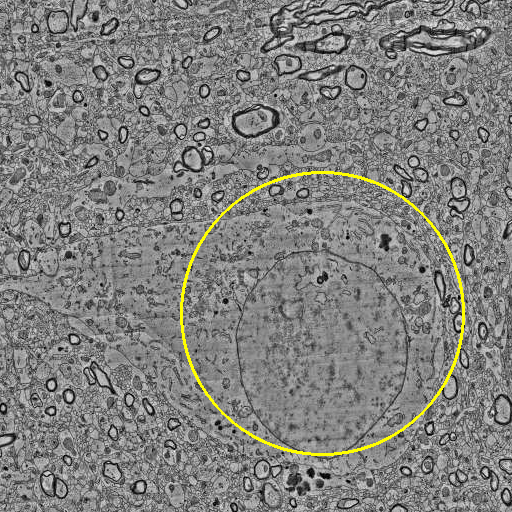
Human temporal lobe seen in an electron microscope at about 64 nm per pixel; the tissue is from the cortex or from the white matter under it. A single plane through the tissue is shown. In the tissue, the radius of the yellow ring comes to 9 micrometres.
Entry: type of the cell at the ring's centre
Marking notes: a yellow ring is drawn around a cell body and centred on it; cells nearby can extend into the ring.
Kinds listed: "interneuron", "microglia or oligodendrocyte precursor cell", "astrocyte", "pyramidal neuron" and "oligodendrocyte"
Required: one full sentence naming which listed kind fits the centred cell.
My entry names a pyramidal neuron as the cell whose body the yellow ring centres on.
